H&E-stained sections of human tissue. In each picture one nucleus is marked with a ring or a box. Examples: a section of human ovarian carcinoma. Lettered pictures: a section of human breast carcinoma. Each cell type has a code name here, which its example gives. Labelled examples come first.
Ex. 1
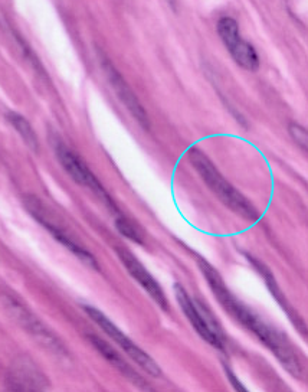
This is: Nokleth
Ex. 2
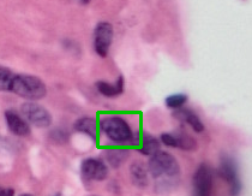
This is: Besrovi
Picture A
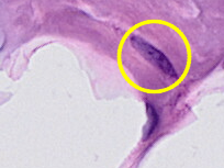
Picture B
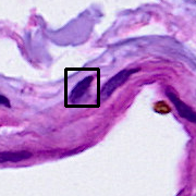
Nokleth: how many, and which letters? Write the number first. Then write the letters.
2, namely A, B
